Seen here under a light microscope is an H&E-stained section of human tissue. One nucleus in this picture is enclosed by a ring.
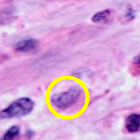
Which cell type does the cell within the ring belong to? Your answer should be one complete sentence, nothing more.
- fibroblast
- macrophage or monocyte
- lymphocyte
Within the stained tissue, the cell within the ring is a macrophage or monocyte.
